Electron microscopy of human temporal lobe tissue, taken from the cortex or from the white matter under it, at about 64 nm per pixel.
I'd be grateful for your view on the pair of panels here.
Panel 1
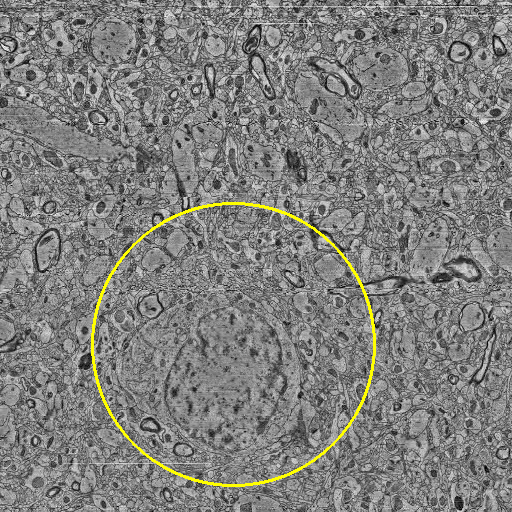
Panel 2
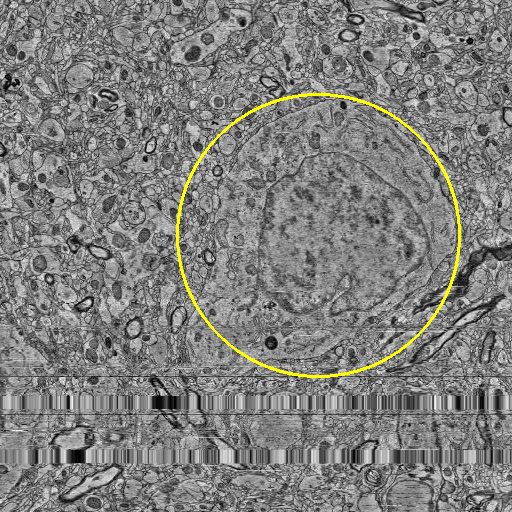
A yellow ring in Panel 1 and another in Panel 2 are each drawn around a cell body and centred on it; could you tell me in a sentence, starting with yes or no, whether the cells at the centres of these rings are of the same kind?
Yes, they are the same kind of cell.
